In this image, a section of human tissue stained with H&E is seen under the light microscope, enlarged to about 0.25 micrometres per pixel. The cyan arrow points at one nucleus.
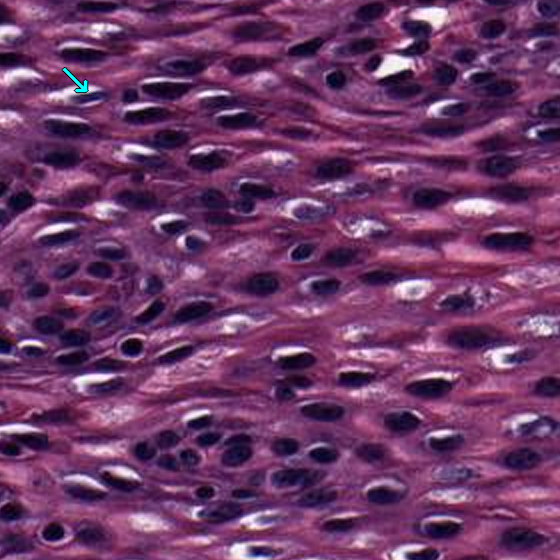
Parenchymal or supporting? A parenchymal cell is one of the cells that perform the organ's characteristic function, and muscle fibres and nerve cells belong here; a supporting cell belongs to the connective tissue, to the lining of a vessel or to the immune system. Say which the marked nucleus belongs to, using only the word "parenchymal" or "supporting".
parenchymal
